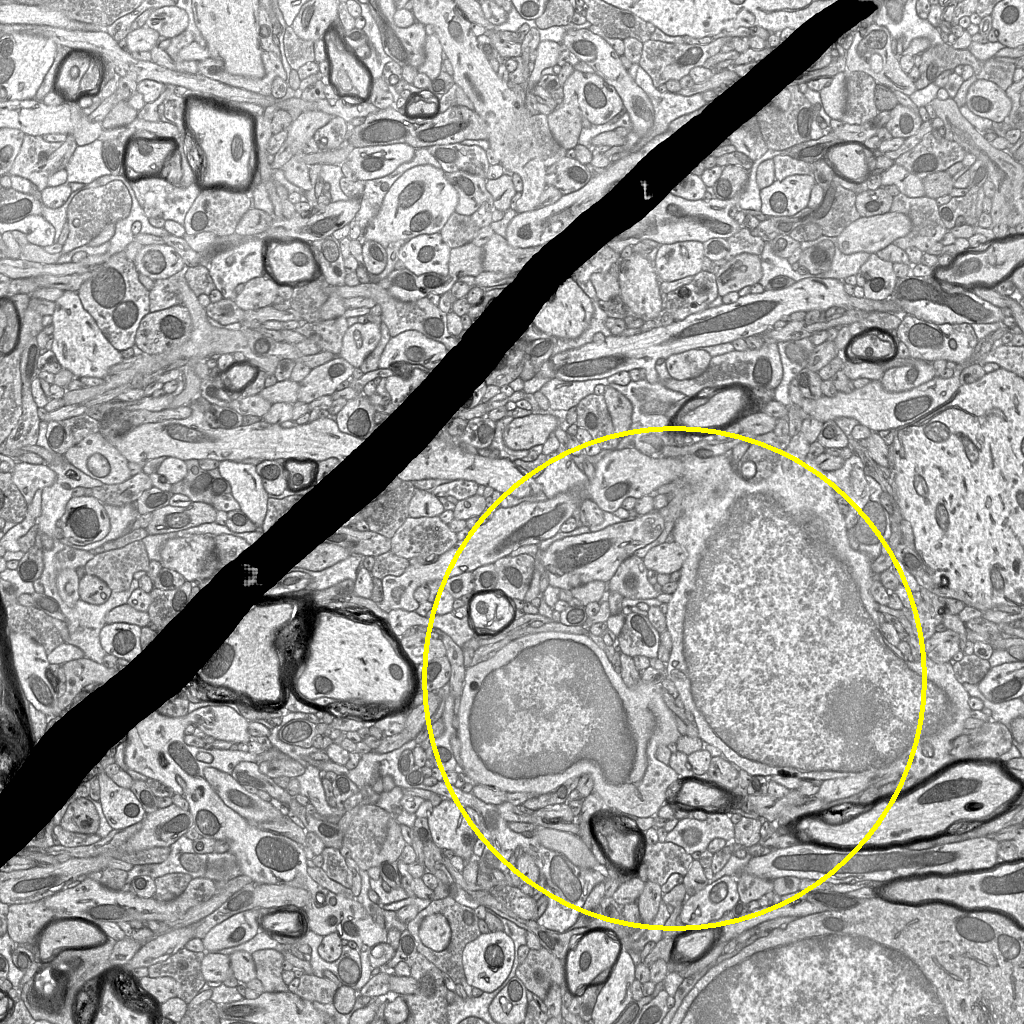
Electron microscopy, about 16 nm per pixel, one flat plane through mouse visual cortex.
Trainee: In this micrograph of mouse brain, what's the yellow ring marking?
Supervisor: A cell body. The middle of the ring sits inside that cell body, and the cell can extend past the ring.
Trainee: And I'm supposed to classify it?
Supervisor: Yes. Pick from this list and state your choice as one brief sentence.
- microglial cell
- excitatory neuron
The cell at the ring's center is a microglial cell.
